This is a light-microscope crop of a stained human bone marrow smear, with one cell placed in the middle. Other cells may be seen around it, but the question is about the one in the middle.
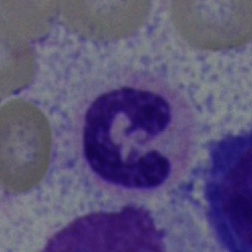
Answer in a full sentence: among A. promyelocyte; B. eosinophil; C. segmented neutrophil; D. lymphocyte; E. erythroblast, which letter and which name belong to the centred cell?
Option C holds up: the cell in the middle is a segmented neutrophil.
